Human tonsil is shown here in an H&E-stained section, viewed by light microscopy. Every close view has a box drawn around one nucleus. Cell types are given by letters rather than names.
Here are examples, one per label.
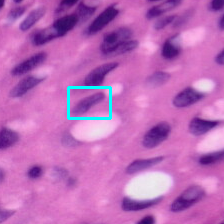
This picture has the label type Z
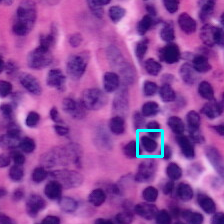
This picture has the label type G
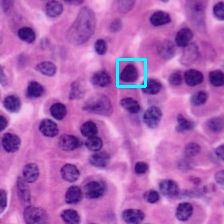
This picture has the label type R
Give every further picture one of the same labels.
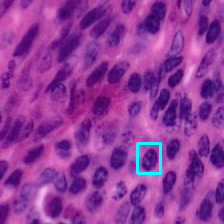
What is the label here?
type R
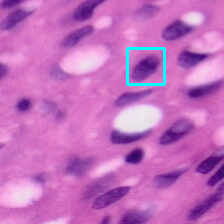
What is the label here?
type Z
